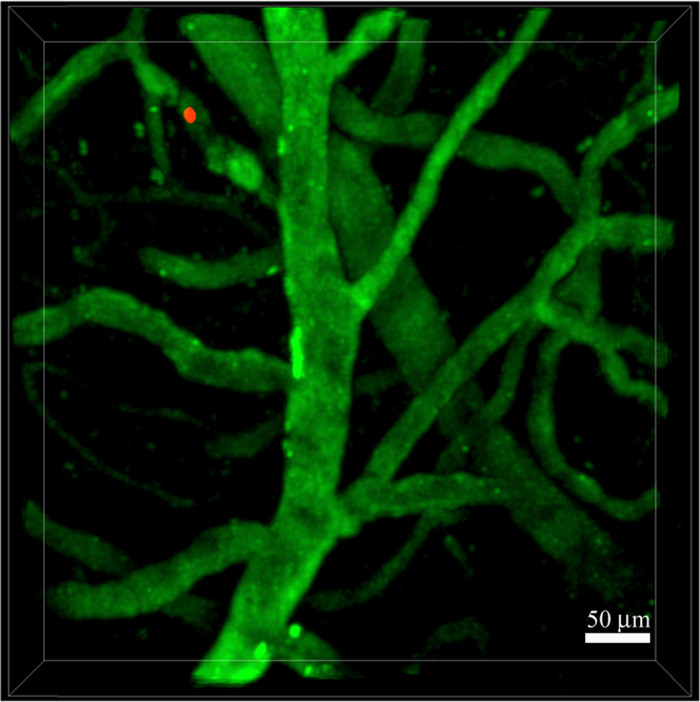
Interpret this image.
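A dense network of green tubes fills the field, with a thick trunk running top to bottom and many thinner branches crossing and joining it, some seen sharp and some blurred at other depths. The tubes are evenly filled with green and the spaces between them are dark. Only a single small red oval body is seen, near the upper left among the tubes.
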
